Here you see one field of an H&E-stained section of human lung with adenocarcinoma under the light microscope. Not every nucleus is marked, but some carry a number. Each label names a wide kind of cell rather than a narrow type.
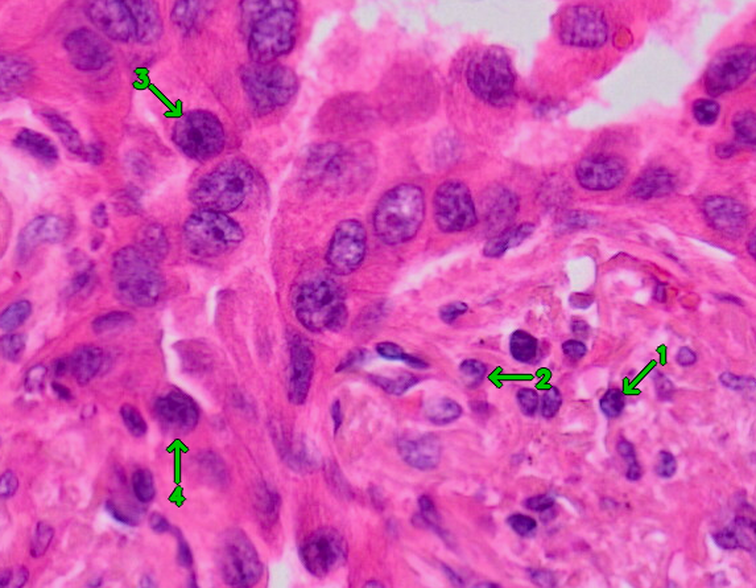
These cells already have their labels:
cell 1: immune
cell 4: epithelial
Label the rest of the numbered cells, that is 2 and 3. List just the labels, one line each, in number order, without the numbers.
immune
epithelial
